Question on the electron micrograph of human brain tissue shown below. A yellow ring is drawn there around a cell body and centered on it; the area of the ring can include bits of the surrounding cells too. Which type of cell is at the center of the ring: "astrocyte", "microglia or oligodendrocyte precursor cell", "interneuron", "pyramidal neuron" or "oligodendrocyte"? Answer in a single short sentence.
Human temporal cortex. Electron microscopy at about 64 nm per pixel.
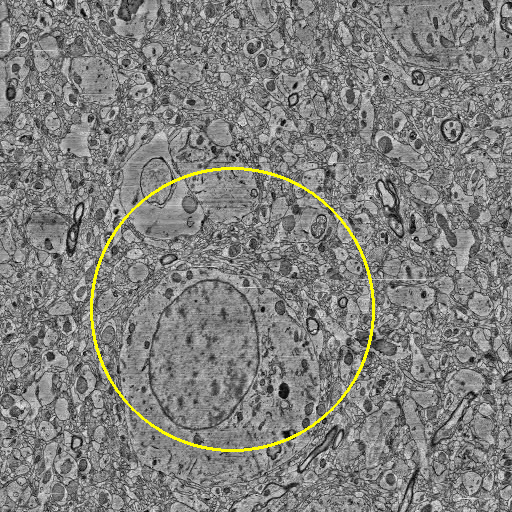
The ring is centered on a pyramidal neuron.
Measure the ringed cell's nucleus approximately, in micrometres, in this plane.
In this plane, roughly 10 by 7 micrometres.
